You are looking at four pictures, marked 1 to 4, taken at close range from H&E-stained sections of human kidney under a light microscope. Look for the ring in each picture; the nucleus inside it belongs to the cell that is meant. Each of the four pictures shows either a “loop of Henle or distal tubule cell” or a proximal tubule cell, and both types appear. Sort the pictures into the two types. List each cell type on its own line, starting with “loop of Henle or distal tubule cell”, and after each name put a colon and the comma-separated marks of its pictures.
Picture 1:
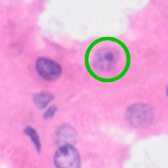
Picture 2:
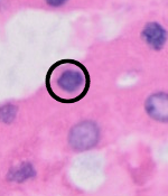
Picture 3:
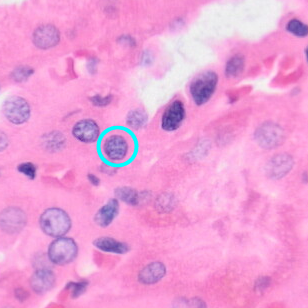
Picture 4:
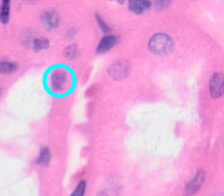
loop of Henle or distal tubule cell: 2, 3, 4
proximal tubule cell: 1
